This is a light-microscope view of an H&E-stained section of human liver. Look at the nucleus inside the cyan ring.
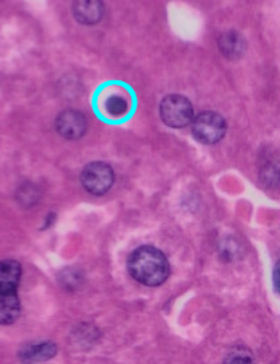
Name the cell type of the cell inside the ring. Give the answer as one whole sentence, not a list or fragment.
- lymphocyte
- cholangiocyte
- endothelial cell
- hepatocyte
The cell type of the cell inside the ring is that of a lymphocyte.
